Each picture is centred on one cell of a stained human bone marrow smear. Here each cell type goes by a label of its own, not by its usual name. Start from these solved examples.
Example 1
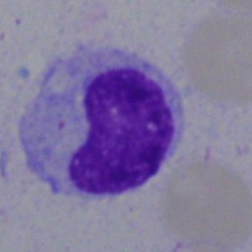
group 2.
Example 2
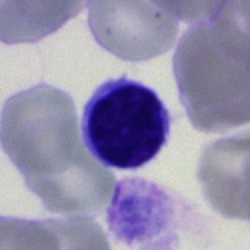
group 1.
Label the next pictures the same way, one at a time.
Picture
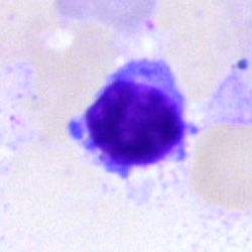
group 1.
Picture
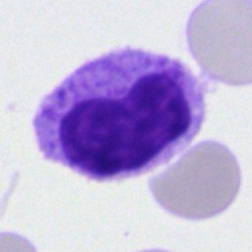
group 2.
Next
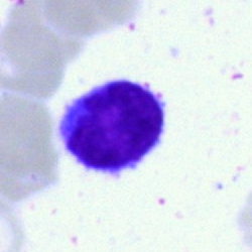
group 1.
